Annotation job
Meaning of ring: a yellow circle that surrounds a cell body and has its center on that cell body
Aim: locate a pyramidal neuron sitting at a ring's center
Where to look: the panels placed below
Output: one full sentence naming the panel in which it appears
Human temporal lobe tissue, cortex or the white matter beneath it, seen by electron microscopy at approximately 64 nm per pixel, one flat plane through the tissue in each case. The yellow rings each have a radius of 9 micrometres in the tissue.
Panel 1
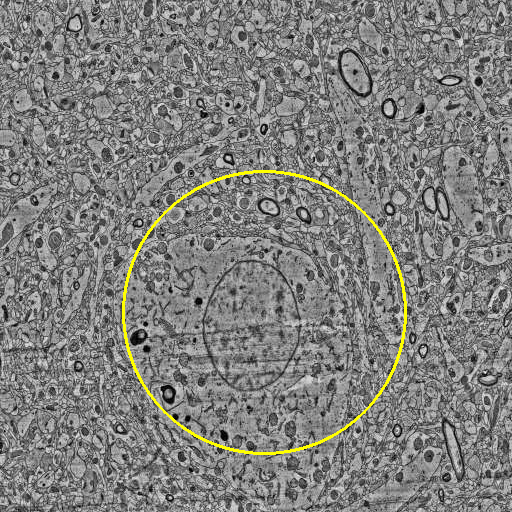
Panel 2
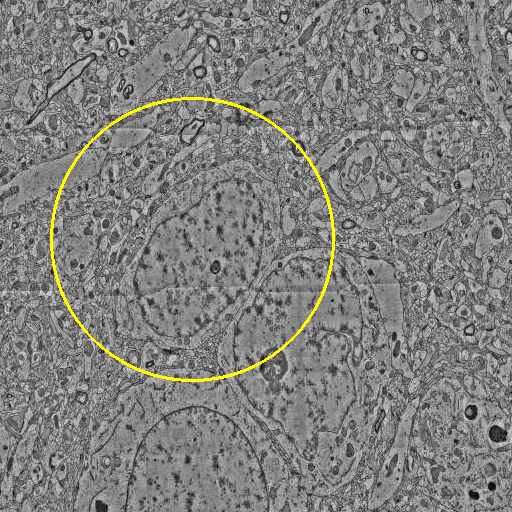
The cell at the center of the ring in panel 1 is the one sought.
